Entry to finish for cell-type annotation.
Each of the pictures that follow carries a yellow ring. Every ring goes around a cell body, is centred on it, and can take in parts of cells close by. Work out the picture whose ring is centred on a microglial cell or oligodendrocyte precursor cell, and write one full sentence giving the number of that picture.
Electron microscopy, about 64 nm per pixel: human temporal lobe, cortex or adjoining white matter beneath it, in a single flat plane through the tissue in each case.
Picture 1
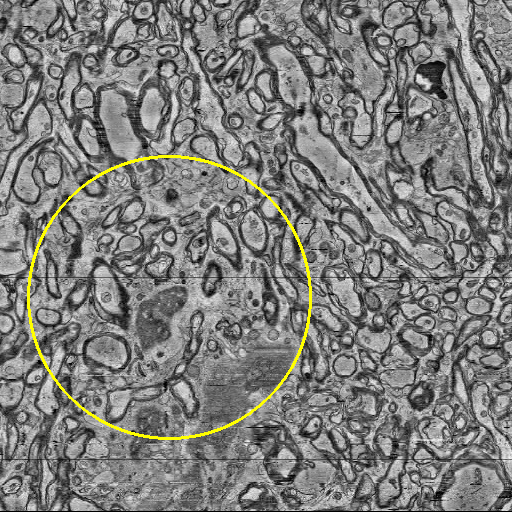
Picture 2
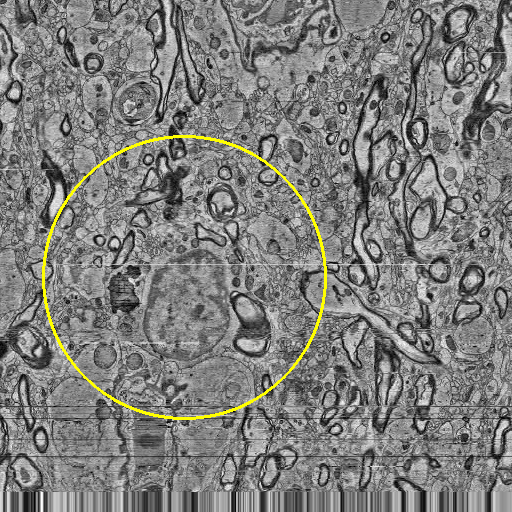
The cell at the heart of the ring in picture 1 matches the request.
